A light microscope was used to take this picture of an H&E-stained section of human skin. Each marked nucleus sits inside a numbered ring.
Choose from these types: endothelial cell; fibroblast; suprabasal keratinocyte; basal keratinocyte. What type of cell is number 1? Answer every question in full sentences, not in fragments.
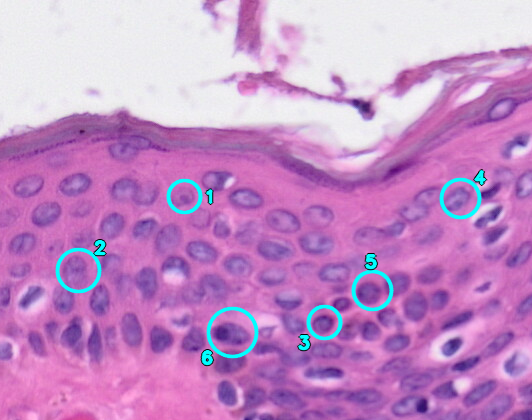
To a suprabasal keratinocyte belongs the nucleus marked 1.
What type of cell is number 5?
The cell identified by the number 5 is a basal keratinocyte.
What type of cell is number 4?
Cell number 4 in this section is a suprabasal keratinocyte.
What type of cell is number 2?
The label 2 in this section denotes a suprabasal keratinocyte.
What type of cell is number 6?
The label 6 in this section denotes a basal keratinocyte.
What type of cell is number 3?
Among the marked cells, number 3 is a basal keratinocyte.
